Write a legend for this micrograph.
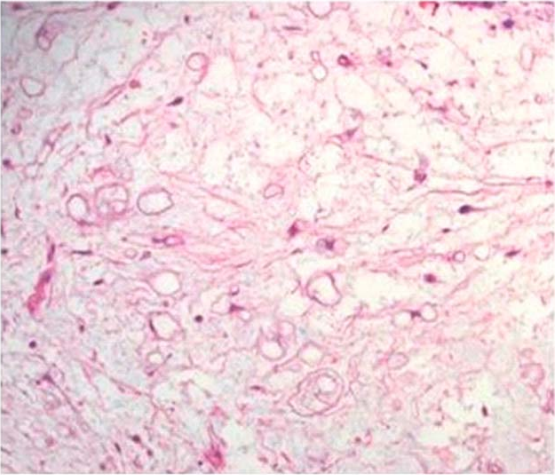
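This high-power view shows a sparsely cellular lesion made of small oval to spindle-shaped cells that resemble fibroblasts. Their nuclei are small, dark purple and widely separated from one another. Delicate pink strands and cell processes run through an abundant, pale, loose background matrix with a myxoid appearance. Small rounded empty-looking spaces outlined by thin pink rims are scattered through the matrix. There is no dense cellular sheet; the cells lie singly within the loose ground substance.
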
